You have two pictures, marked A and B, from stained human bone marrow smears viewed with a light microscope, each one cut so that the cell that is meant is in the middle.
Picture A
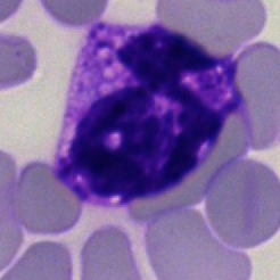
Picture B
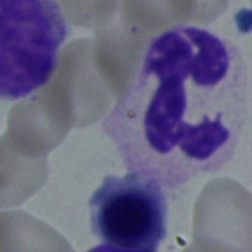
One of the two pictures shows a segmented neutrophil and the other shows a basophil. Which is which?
A: basophil
B: segmented neutrophil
